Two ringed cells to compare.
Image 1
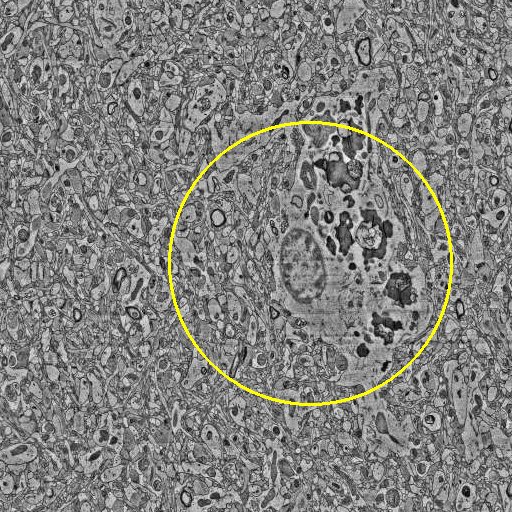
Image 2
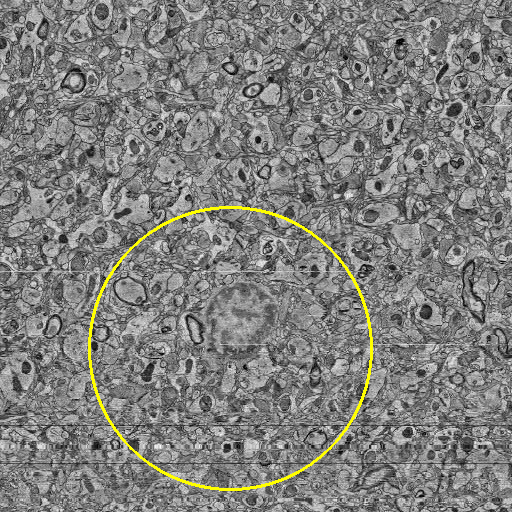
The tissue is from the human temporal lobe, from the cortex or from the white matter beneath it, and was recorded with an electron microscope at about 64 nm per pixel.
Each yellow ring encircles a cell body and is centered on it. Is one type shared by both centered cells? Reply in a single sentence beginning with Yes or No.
No, two types are found among the cells at the centers of the rings.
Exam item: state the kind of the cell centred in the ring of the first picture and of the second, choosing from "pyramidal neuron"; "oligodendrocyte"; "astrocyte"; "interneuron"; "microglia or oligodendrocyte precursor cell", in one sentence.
The first picture shows an astrocyte at the ring centre and the second shows an oligodendrocyte.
